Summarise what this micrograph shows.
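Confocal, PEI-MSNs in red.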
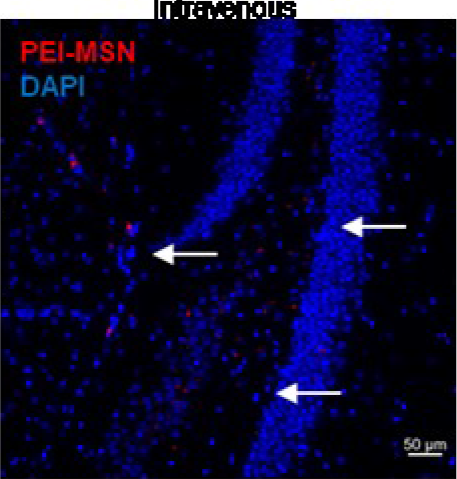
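This is the hippocampus, seen at low power with all nuclei in blue. Between and around these bands the nuclei are sparse and scattered. Small red dots lie here and there, some near the edges of the dense cell bands and some along a thin line in the sparser tissue.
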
